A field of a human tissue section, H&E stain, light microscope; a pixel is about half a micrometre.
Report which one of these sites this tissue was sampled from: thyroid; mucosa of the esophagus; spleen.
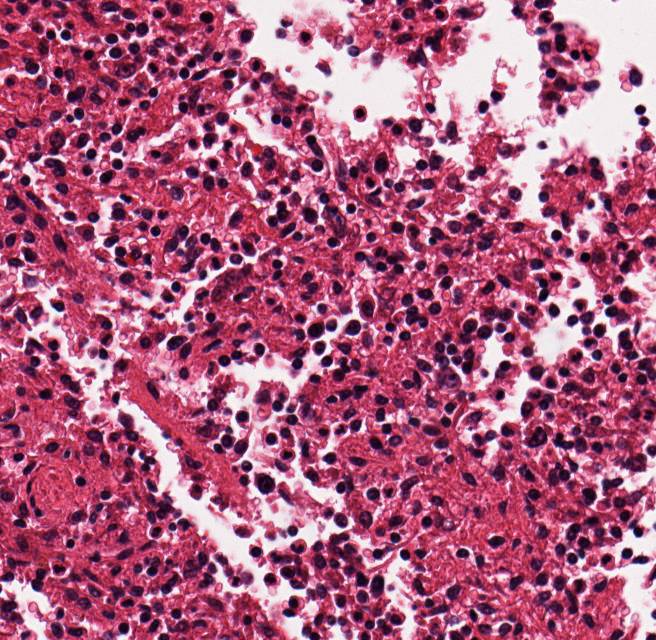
spleen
